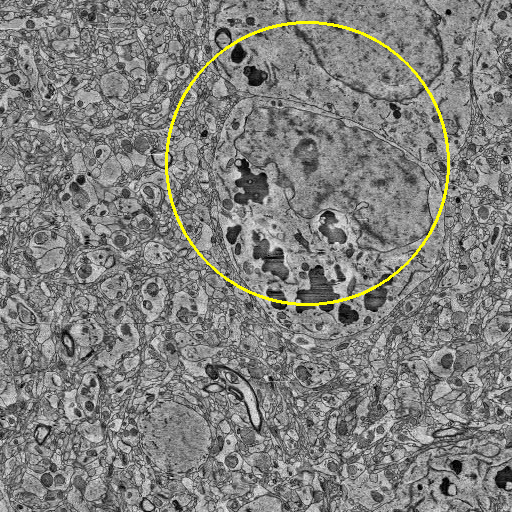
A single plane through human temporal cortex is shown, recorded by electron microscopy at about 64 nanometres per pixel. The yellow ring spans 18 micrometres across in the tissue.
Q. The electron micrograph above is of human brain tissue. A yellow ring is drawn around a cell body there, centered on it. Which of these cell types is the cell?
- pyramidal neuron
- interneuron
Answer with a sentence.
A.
The cell under the ring's center is an interneuron.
